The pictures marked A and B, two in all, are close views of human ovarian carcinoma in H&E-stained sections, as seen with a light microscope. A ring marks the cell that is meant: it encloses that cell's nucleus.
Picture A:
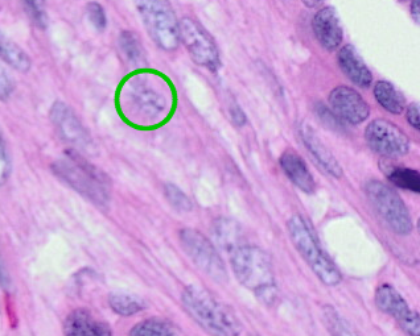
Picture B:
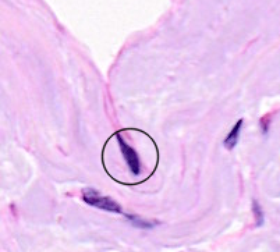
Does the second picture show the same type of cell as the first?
yes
